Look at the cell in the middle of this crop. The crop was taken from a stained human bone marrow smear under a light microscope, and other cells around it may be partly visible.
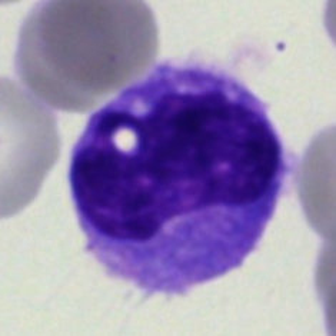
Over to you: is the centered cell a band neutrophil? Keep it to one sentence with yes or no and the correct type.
No, the centre cell is not a band neutrophil but a monocyte.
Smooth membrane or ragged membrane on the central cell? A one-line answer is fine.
The cytoplasmic margin is uneven, whether through ragged segments or through projections.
